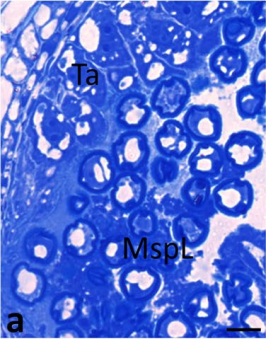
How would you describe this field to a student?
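This section through an anther locule shows many microspores lying free in the locule, with the tapetum cells along its edge. Each microspore is round and enclosed in a thick, dark blue wall, and many show a pale, clear interior. At the upper left the tapetum forms a band of densely stained cells with small pale inclusions, bordering the locule.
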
